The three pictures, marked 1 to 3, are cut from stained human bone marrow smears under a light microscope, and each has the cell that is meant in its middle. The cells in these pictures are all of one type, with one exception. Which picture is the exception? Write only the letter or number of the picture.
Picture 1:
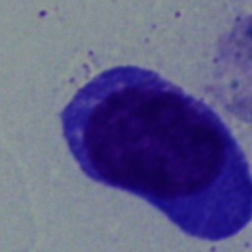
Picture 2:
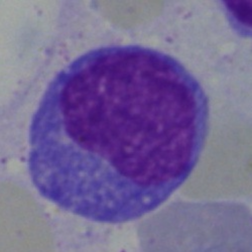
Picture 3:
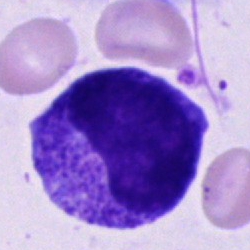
1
